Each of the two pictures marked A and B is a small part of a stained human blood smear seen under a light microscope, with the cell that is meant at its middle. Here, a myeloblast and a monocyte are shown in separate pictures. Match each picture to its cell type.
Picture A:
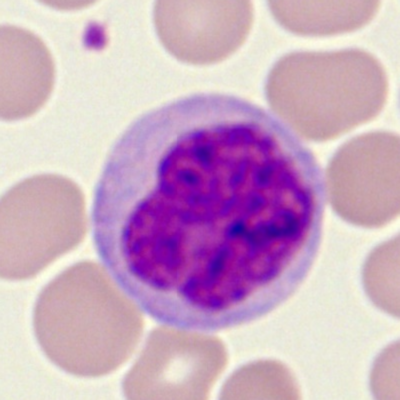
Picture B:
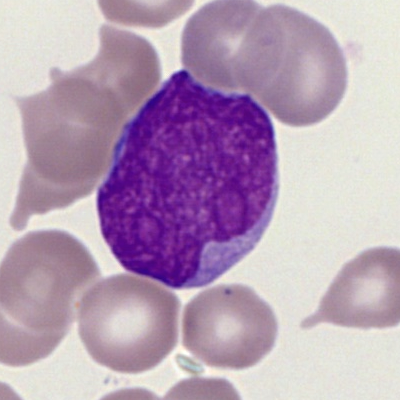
A: monocyte
B: myeloblast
